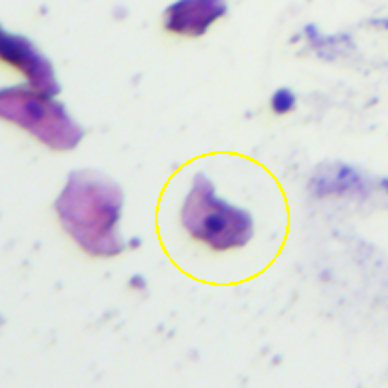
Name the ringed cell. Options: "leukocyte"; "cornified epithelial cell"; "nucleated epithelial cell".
nucleated epithelial cell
